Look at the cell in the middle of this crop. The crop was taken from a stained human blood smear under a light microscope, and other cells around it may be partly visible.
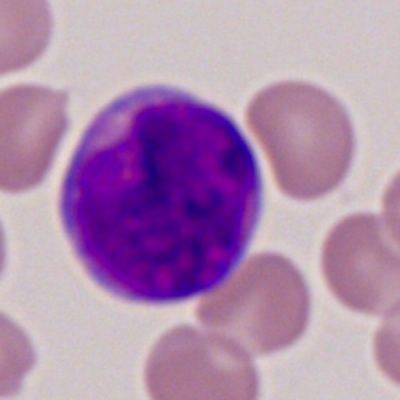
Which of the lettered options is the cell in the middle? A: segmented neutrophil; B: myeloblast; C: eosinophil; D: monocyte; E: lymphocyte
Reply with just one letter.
B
